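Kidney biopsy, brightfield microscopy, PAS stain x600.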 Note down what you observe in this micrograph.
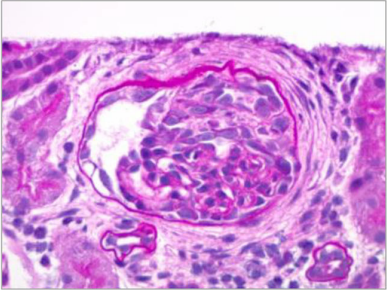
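This is a glomerulus with a cellular crescent. A layer of cells sits inside the capsule, pushing the glomerular tuft to one side, while the capsule appears as a wavy, deep magenta line. Around the outside lie concentric layers of spindle-shaped cells and fibres, with small tubules with magenta basement membranes beside them.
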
